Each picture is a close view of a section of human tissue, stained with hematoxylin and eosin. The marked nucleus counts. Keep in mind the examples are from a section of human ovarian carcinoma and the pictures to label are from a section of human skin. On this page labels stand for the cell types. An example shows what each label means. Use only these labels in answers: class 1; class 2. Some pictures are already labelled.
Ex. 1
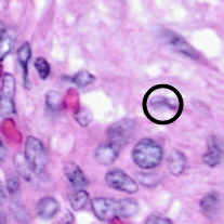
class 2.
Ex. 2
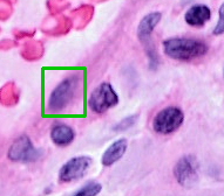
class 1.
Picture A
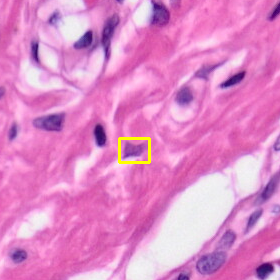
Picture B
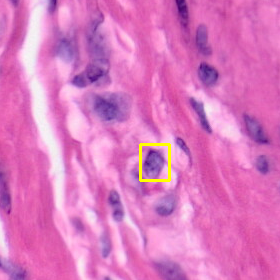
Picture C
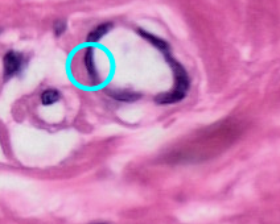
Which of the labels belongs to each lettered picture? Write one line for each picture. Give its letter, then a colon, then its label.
A: class 2.
B: class 1.
C: class 1.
